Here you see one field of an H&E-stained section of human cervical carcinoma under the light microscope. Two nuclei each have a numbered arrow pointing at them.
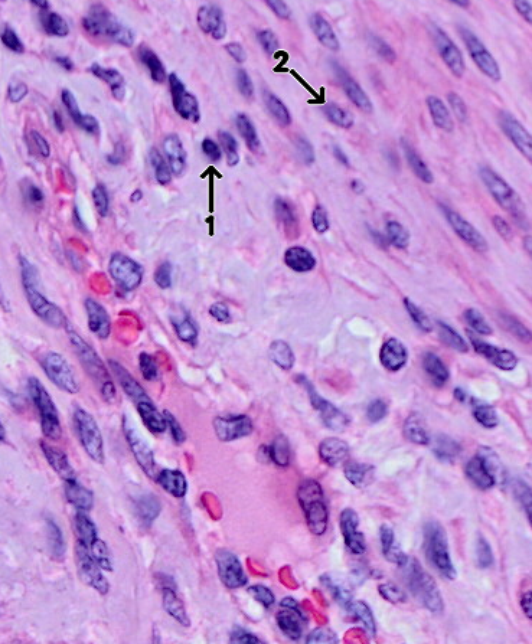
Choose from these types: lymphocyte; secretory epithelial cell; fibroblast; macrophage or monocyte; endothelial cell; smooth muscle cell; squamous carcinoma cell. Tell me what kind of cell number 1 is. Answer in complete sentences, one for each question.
The cell that goes by number 1 is a lymphocyte.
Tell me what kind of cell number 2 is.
The numbered cell 2 in this field is a smooth muscle cell.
